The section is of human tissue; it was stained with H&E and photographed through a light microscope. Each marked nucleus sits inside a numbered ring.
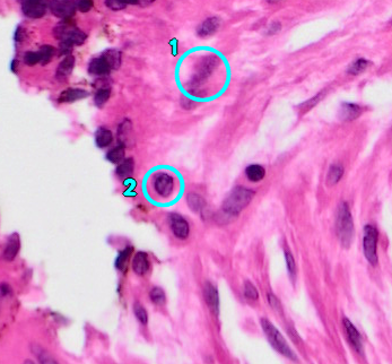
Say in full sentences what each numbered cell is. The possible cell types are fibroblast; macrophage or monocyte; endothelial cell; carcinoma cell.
Cell 1 is a fibroblast. Cell 2 is a macrophage or monocyte.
